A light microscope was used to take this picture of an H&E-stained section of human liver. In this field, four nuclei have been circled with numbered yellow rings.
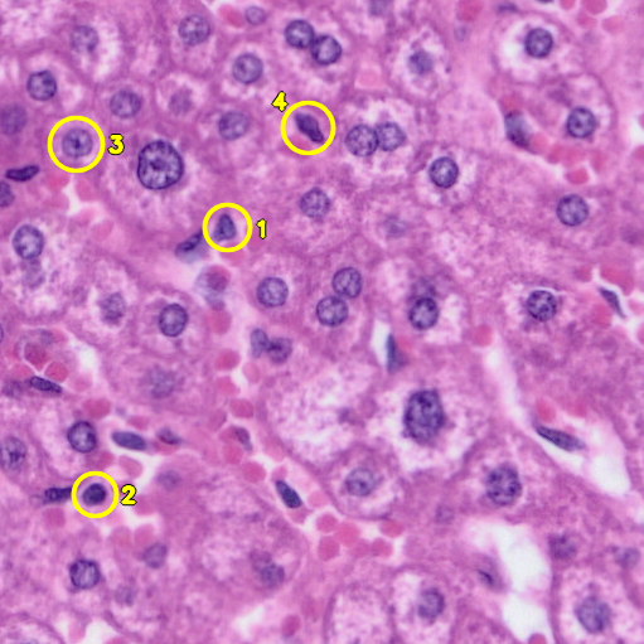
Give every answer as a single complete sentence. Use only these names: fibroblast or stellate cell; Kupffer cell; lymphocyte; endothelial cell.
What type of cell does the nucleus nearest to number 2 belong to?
The nucleus nearest to number 2 is that of a fibroblast or stellate cell.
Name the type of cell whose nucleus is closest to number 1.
The nucleus nearest to number 1 is that of an endothelial cell.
